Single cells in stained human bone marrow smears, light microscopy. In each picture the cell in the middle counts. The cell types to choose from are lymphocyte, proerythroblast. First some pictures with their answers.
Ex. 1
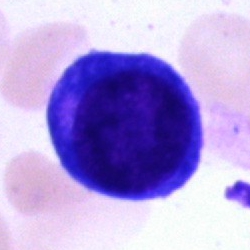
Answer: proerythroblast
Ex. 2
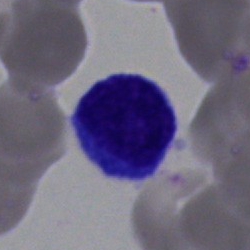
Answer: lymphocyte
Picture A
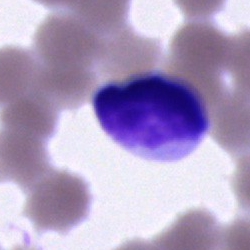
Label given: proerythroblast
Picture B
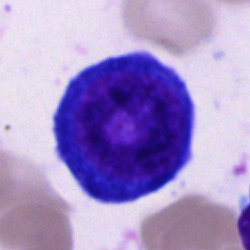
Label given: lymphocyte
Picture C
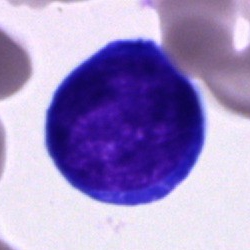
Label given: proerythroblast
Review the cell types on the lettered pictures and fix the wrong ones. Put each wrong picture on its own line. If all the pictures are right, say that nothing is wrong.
A: change proerythroblast to lymphocyte
B: change lymphocyte to proerythroblast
